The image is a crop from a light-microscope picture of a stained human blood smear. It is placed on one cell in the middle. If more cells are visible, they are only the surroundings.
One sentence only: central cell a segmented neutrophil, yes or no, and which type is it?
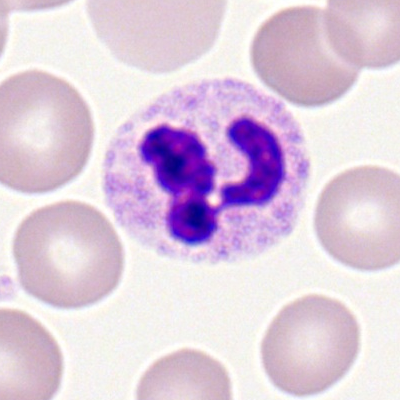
Yes, the cell in the center of this crop is a segmented neutrophil.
